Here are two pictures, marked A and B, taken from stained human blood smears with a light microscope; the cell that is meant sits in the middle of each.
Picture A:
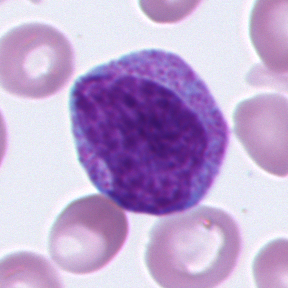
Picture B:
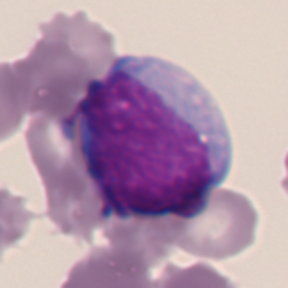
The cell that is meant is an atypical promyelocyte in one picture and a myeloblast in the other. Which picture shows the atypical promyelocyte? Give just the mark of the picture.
A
